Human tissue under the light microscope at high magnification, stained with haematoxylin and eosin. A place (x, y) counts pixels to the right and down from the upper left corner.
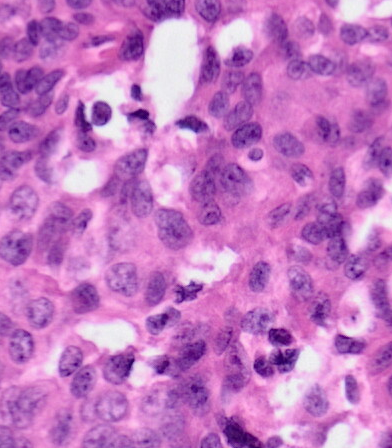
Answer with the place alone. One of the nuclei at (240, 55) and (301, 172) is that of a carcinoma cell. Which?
(240, 55)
